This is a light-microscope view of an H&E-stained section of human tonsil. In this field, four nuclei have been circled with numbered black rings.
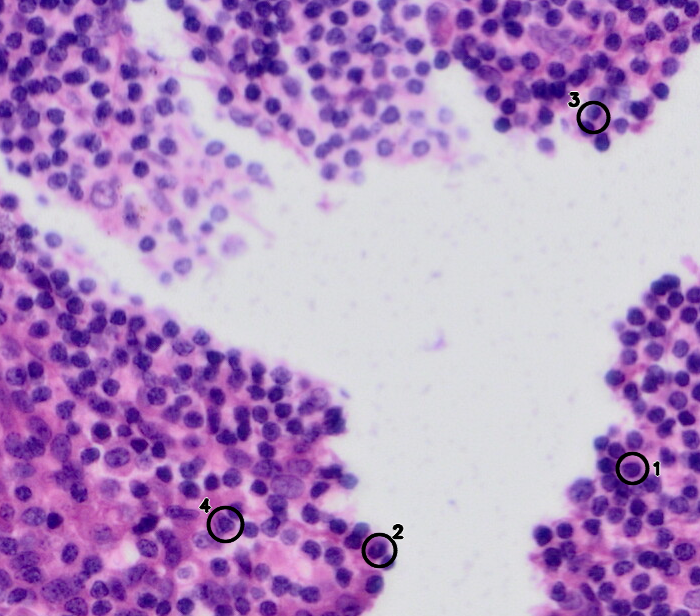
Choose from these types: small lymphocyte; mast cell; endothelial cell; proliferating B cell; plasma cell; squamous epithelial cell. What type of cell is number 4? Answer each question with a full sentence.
The nucleus labelled 4 belongs to a plasma cell.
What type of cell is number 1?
The cell referenced by the number 1 is a small lymphocyte in this field.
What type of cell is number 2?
Identified as a plasma cell is the cell bearing the number 2.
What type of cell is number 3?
The label 3 in this section denotes a small lymphocyte.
